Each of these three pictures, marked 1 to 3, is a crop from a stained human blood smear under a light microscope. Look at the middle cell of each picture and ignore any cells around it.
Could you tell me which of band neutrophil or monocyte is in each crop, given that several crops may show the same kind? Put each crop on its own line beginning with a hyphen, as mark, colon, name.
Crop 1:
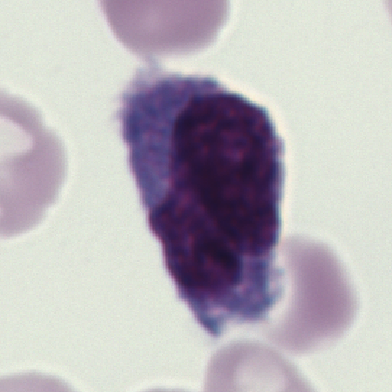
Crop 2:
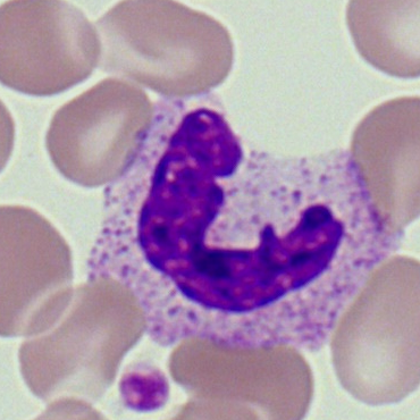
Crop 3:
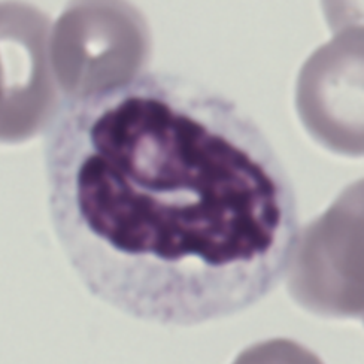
- 1: monocyte
- 2: band neutrophil
- 3: band neutrophil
